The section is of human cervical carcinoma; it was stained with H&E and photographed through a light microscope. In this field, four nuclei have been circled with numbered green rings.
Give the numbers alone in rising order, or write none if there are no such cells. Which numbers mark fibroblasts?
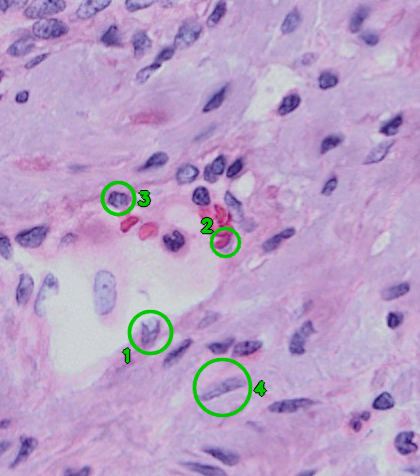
4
